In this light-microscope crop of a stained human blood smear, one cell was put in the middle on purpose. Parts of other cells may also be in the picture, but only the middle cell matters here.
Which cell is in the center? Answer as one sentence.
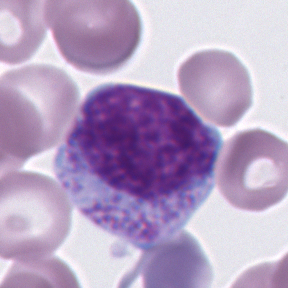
The cell of interest, located centrally, is a myelocyte.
